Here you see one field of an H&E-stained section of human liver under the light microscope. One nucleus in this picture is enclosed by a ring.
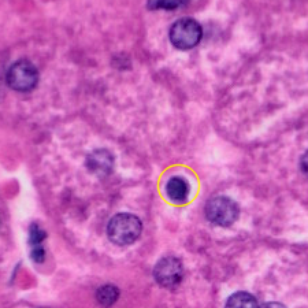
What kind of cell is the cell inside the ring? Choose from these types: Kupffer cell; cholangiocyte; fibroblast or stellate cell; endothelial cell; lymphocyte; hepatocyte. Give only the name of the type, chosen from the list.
lymphocyte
